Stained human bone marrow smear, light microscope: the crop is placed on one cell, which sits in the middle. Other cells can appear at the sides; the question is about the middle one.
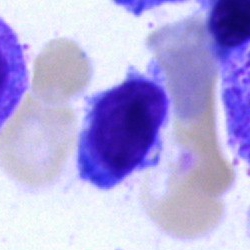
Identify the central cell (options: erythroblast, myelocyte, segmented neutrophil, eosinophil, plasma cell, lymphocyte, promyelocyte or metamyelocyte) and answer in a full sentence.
The cell marked by its central position in the crop is a lymphocyte.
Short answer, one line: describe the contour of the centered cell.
The outer contour of the cell is irregular, with ragged portions or projections along it.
